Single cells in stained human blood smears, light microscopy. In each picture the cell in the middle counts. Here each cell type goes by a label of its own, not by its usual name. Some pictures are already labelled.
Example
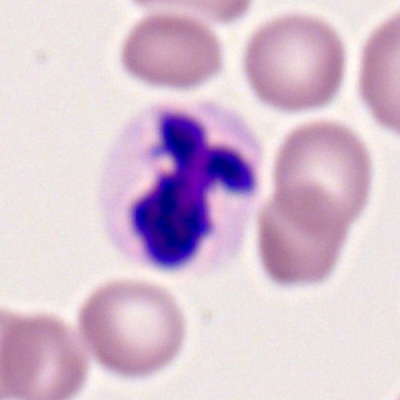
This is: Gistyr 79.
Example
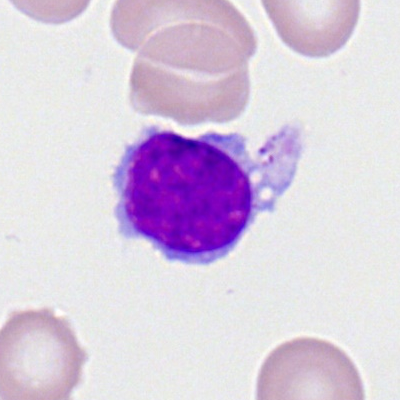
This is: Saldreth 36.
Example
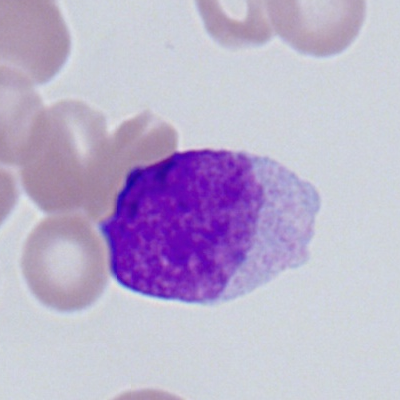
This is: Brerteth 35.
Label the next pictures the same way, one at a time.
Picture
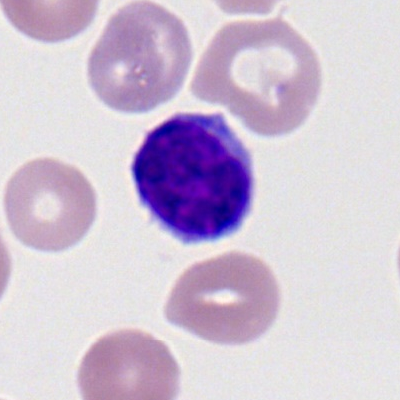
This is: Saldreth 36.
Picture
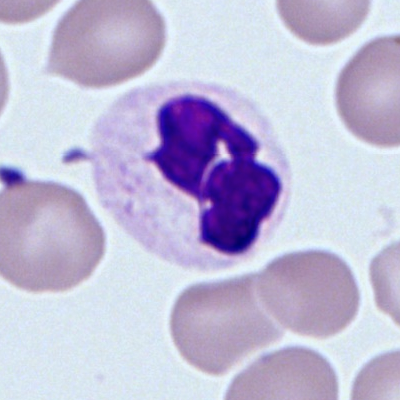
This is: Gistyr 79.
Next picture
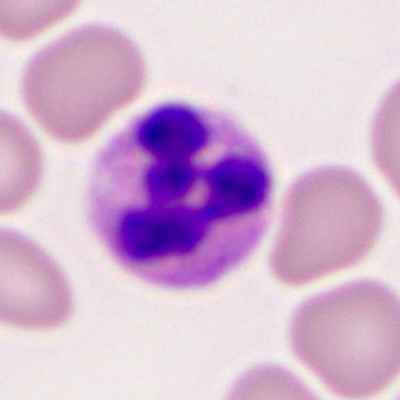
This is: Gistyr 79.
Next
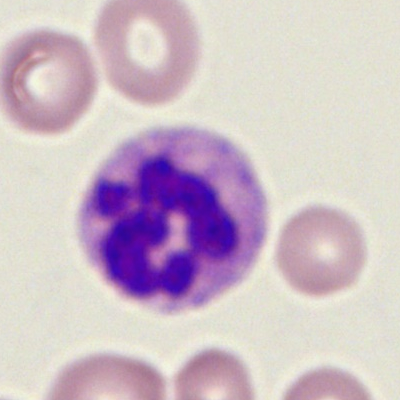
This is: Gistyr 79.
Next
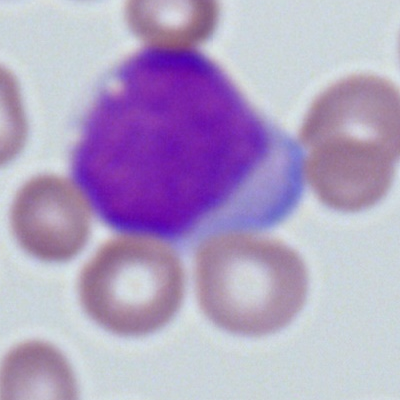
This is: Brerteth 35.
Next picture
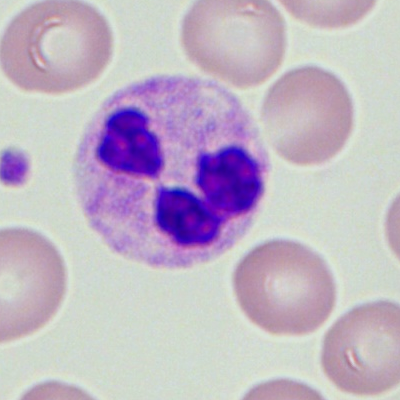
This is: Gistyr 79.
